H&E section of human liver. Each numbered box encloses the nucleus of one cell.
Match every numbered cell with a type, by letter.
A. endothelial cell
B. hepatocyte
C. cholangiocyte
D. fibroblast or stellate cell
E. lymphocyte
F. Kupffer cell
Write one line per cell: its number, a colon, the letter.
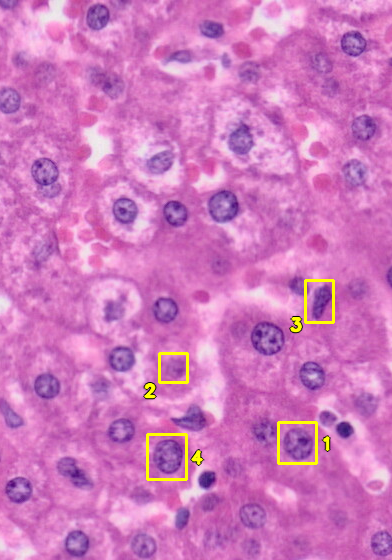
1: B
2: B
3: D
4: B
